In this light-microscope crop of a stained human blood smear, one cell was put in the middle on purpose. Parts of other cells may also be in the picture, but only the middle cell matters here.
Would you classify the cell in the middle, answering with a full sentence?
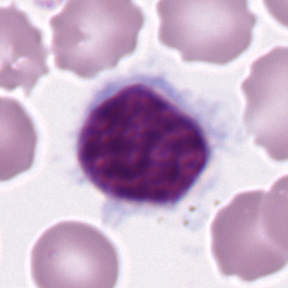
The centrally placed cell is classified as a hairy cell.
